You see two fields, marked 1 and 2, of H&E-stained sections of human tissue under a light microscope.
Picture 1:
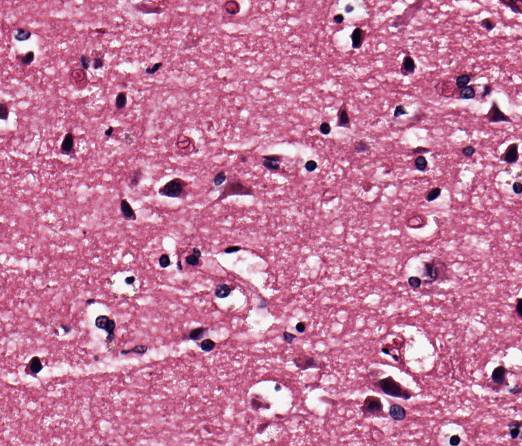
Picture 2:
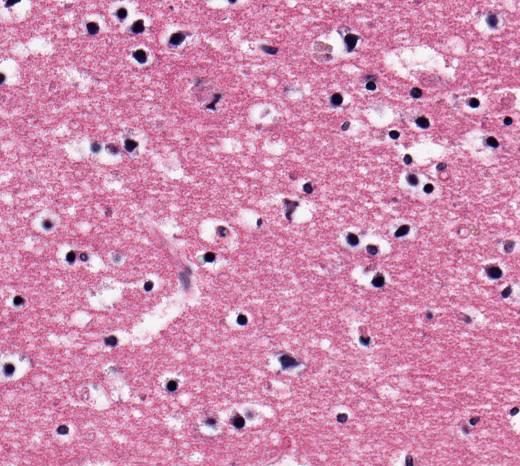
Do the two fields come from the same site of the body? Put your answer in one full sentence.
Yes; both pictures come from the cerebral cortex.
